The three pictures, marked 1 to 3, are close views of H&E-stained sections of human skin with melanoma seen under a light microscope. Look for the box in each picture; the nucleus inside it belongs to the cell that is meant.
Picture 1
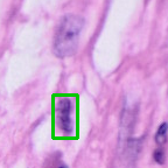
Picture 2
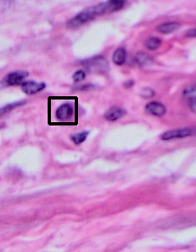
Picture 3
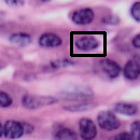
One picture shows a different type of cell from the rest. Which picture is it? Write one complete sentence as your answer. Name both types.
The others show plasma cells, but picture 1 shows a “macrophage or monocyte”.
